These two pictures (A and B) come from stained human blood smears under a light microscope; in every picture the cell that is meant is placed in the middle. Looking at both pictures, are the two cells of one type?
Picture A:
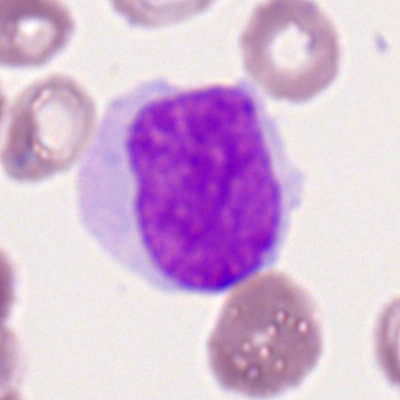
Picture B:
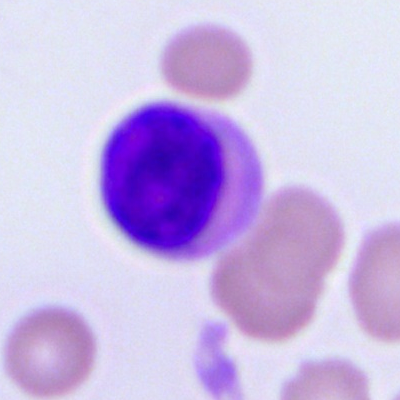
no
